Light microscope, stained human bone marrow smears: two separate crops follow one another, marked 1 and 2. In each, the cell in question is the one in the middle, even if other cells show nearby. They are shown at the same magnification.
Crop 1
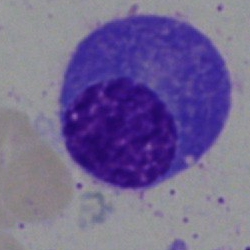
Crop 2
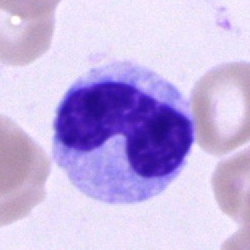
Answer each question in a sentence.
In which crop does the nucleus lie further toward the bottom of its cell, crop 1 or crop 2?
It is the nucleus in crop 1 that lies further toward the bottom of its cell.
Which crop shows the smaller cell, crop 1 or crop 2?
It is the cell in crop 2; the cell in crop 1 has about 1.5 times its area.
